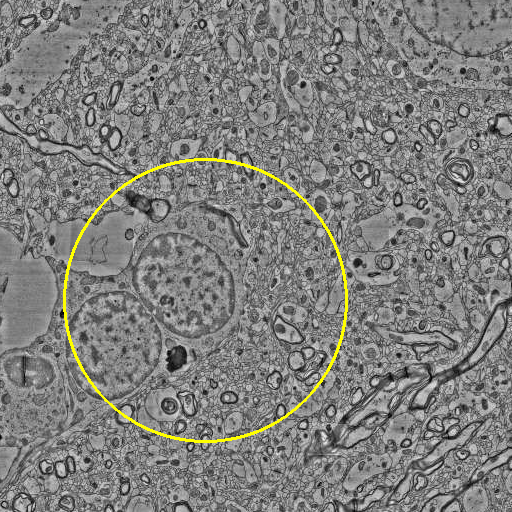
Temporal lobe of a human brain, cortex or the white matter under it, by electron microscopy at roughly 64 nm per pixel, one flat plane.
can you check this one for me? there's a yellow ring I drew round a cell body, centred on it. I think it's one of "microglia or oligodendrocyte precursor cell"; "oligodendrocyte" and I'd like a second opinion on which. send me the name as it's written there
oligodendrocyte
